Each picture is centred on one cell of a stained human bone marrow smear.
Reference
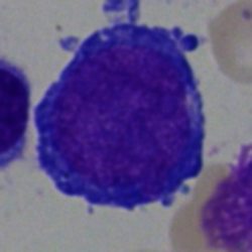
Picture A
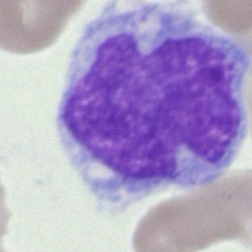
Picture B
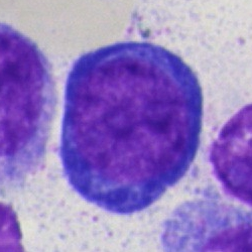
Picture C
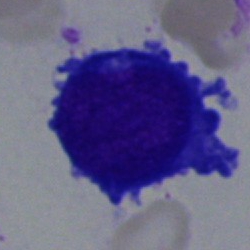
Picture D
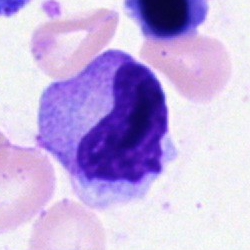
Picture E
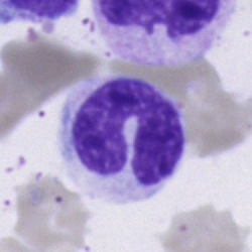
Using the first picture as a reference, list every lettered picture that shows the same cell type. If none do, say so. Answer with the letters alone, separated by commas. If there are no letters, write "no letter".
B, C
